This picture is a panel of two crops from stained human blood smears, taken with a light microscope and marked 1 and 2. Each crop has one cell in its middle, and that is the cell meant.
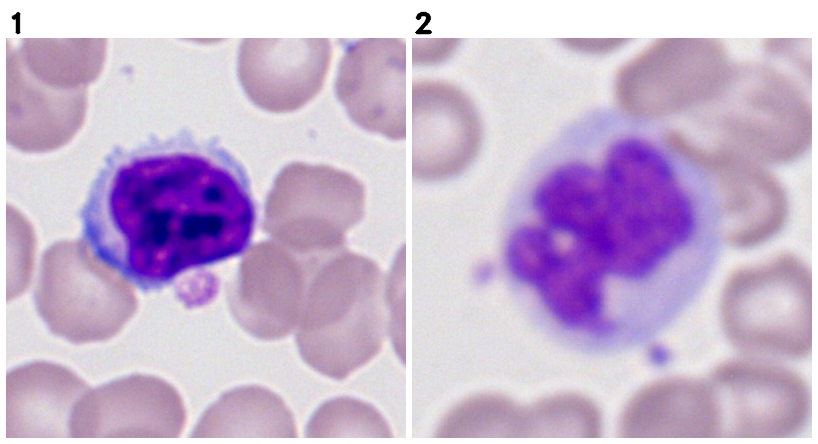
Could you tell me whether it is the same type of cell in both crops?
no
